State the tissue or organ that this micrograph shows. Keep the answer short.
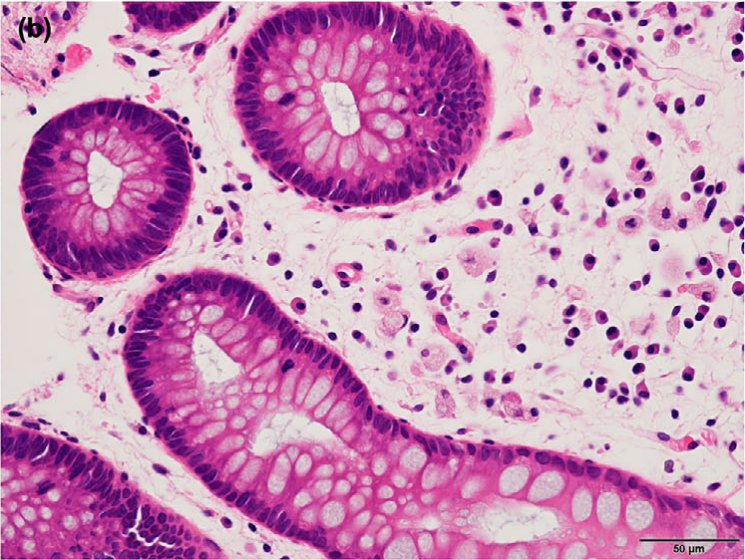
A: Colonic mucosa.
